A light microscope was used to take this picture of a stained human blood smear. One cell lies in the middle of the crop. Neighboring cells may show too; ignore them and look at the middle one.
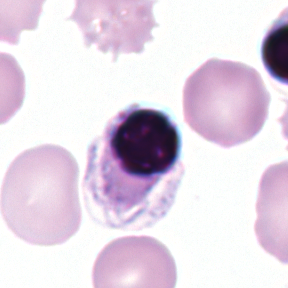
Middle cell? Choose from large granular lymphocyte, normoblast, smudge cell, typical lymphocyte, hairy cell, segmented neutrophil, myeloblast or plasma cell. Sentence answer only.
The central element of this crop is a cell, namely a normoblast.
